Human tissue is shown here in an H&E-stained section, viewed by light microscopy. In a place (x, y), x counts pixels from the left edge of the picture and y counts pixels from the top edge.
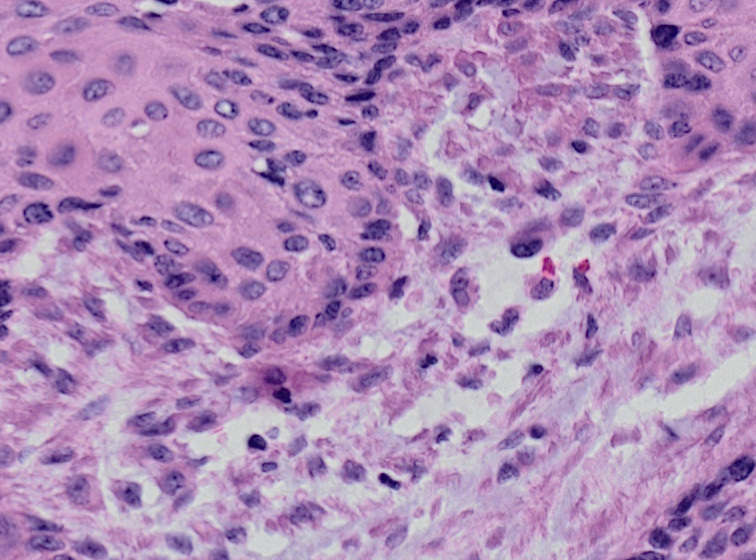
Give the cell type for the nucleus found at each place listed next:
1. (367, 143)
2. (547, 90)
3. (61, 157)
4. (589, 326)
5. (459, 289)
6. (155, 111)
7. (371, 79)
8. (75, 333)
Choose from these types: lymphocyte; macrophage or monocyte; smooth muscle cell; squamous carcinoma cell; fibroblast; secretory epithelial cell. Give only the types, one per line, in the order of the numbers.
squamous carcinoma cell
fibroblast
squamous carcinoma cell
fibroblast
macrophage or monocyte
squamous carcinoma cell
squamous carcinoma cell
fibroblast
